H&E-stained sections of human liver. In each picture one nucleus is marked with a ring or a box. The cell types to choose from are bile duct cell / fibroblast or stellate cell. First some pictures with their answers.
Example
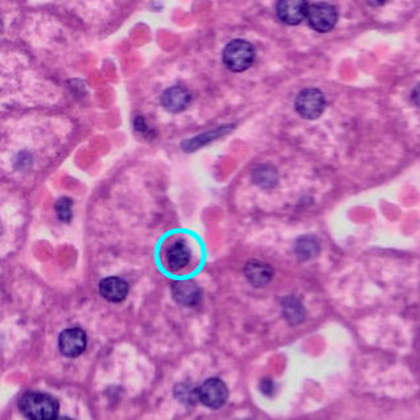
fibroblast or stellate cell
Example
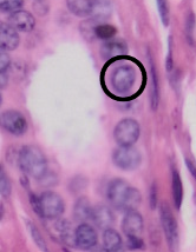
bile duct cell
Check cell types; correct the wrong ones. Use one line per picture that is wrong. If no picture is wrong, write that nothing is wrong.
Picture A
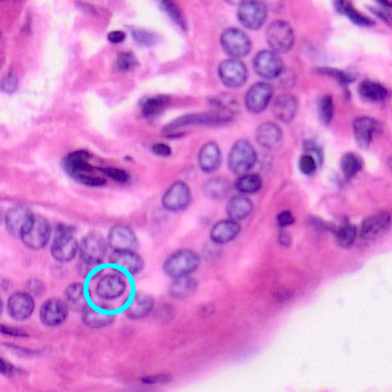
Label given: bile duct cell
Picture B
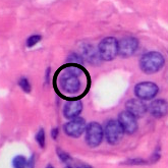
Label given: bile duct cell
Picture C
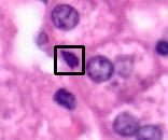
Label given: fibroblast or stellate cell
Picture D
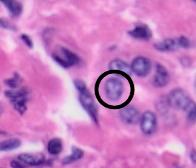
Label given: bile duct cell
None of the labels needs changing.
